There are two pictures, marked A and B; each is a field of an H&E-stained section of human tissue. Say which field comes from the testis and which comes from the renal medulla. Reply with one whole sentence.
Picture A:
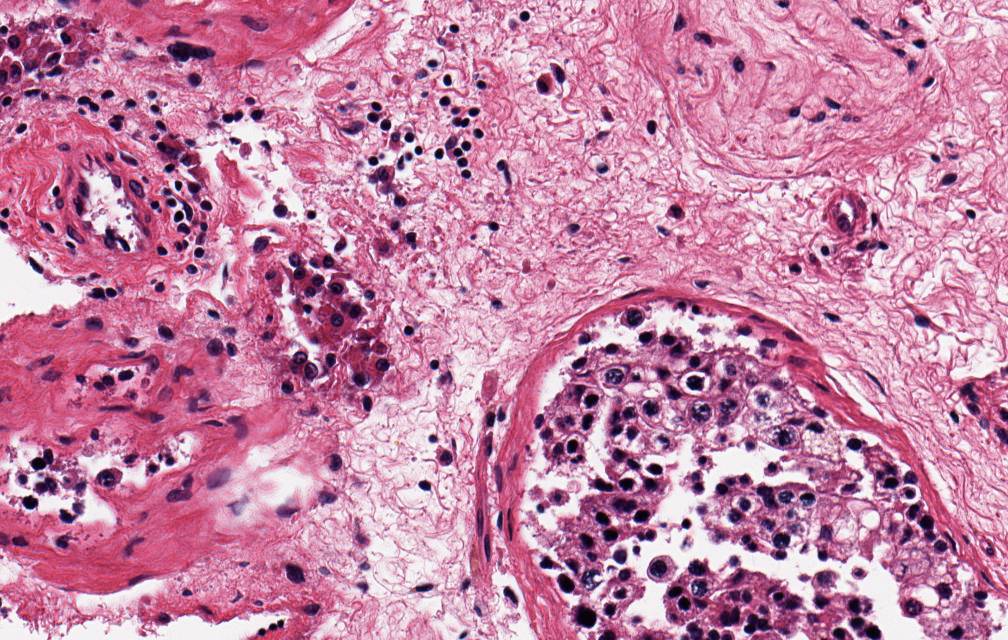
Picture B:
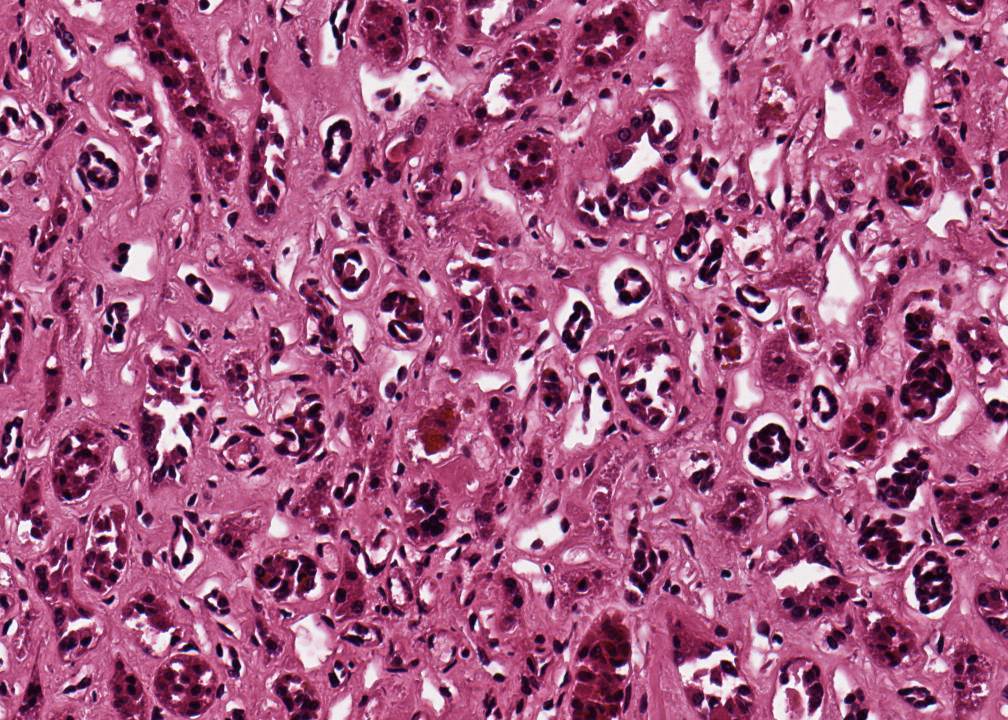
Picture A comes from the testis; picture B comes from the renal medulla.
